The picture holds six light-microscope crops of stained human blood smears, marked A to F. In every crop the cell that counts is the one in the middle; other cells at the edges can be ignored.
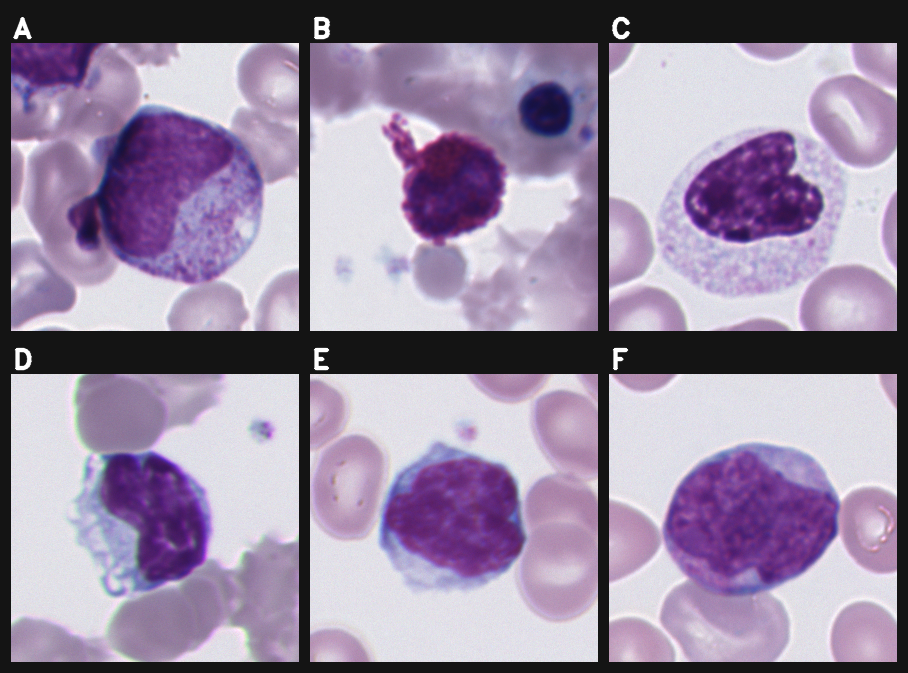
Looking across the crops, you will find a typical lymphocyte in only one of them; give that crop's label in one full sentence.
Among the crops provided, a typical lymphocyte occupies the center of crop E.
